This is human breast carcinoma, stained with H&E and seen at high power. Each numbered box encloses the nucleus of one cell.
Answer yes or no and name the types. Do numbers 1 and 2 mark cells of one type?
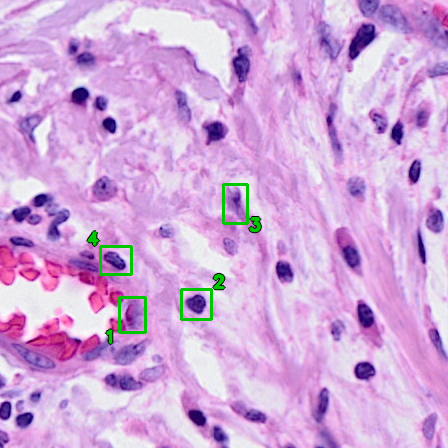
No, cell 1 is an endothelial cell and cell 2 is a lymphocyte.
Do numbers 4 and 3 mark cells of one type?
No, cell 4 is a lymphocyte and cell 3 is a fibroblast.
